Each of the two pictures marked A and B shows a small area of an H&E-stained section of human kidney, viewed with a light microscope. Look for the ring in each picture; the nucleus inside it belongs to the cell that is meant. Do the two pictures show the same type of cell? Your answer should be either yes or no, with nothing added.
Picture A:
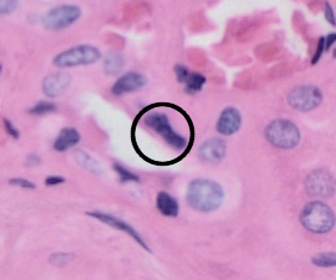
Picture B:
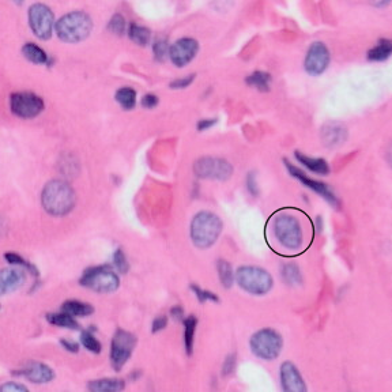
yes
